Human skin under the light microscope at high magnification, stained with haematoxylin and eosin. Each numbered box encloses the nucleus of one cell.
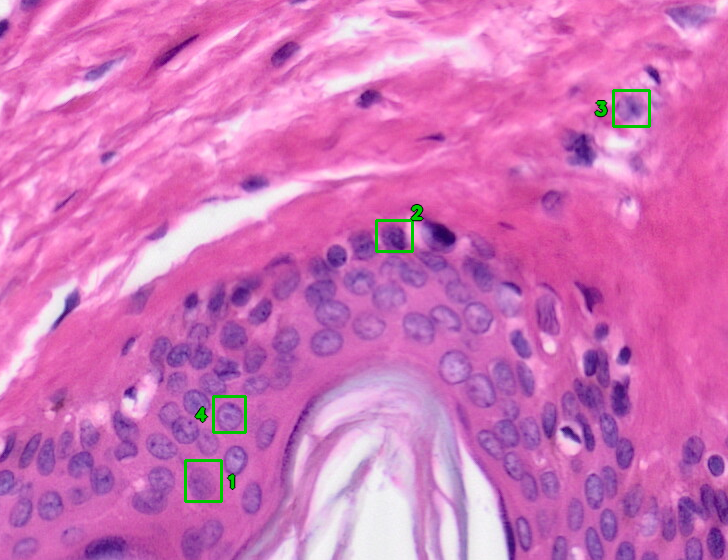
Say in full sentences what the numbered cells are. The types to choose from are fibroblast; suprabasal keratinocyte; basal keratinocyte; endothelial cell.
Cell 1 is a suprabasal keratinocyte, cell 2 is a basal keratinocyte, cell 3 is an endothelial cell and cell 4 is a suprabasal keratinocyte.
